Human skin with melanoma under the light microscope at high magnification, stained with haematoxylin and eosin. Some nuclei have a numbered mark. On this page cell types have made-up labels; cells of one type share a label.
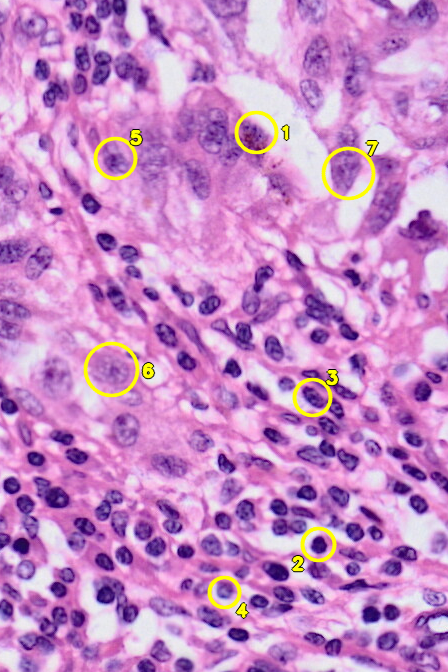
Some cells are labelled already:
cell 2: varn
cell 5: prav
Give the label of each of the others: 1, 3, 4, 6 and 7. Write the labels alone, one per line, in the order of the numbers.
prav
varn
varn
prav
prav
